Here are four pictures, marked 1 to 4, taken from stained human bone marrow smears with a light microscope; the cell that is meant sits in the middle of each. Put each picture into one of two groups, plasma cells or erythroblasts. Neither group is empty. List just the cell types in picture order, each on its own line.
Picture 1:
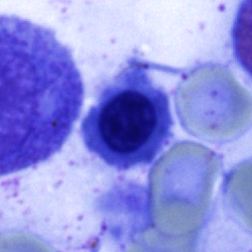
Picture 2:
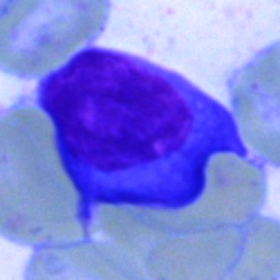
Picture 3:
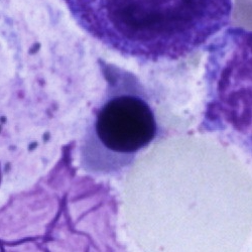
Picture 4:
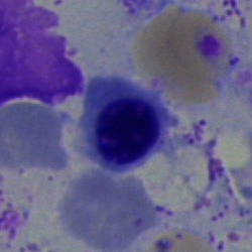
erythroblast
plasma cell
erythroblast
erythroblast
